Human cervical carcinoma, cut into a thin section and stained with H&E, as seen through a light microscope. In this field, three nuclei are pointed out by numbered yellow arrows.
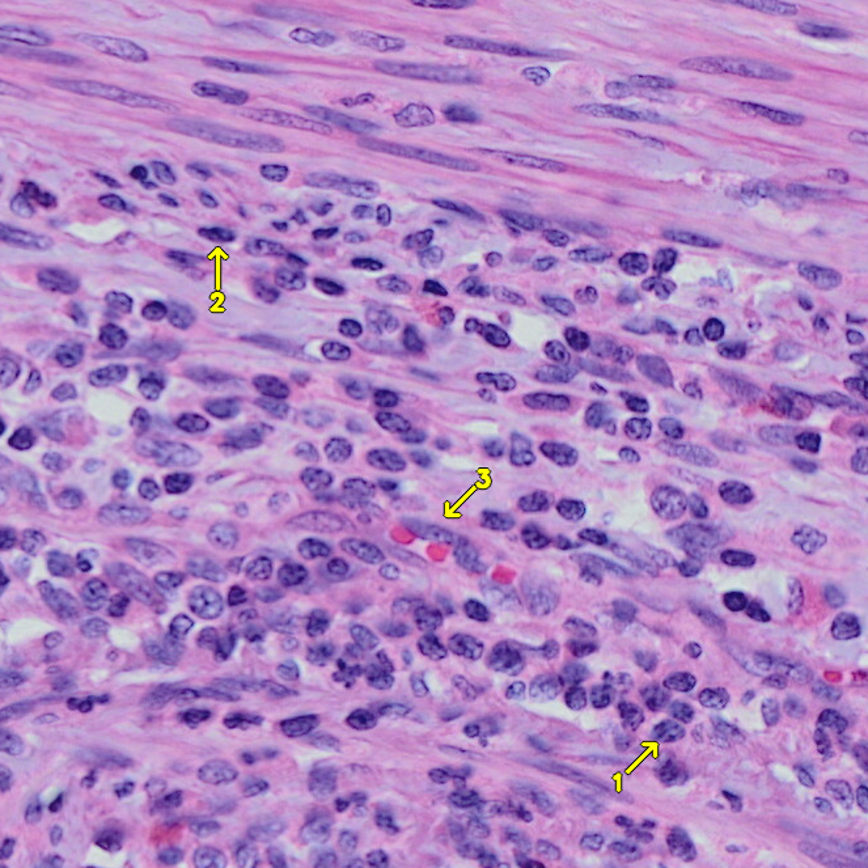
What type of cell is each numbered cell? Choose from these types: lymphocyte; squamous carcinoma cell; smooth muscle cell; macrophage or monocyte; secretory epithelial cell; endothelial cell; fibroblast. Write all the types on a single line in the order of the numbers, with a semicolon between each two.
lymphocyte; lymphocyte; endothelial cell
